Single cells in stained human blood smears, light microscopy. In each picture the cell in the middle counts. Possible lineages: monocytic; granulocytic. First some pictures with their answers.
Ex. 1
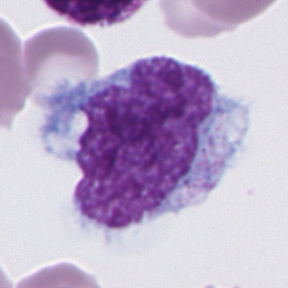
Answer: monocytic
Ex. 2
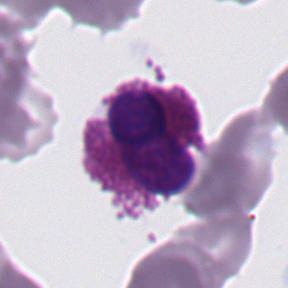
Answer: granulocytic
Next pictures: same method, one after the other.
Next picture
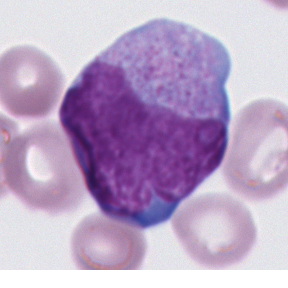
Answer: granulocytic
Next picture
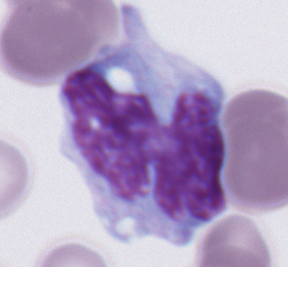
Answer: monocytic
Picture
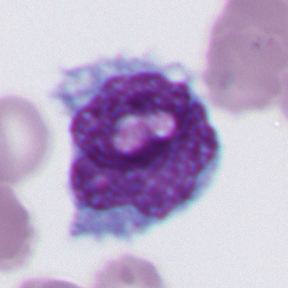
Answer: monocytic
